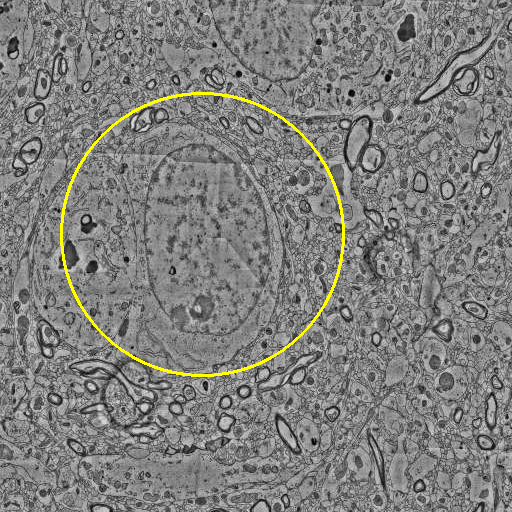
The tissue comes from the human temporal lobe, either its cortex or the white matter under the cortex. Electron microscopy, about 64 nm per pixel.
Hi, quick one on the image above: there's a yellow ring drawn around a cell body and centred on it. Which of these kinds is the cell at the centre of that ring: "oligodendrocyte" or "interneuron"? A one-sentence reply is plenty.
The cell at the centre of the ring is an interneuron.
